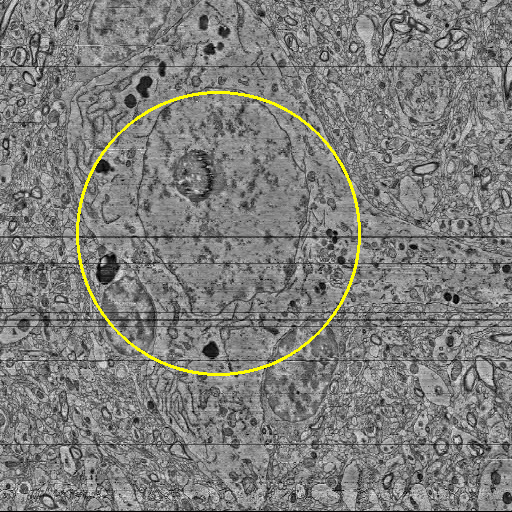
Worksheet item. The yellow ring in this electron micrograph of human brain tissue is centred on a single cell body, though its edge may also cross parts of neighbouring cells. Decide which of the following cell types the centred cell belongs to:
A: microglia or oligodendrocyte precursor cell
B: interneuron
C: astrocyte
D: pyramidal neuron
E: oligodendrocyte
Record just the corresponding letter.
D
